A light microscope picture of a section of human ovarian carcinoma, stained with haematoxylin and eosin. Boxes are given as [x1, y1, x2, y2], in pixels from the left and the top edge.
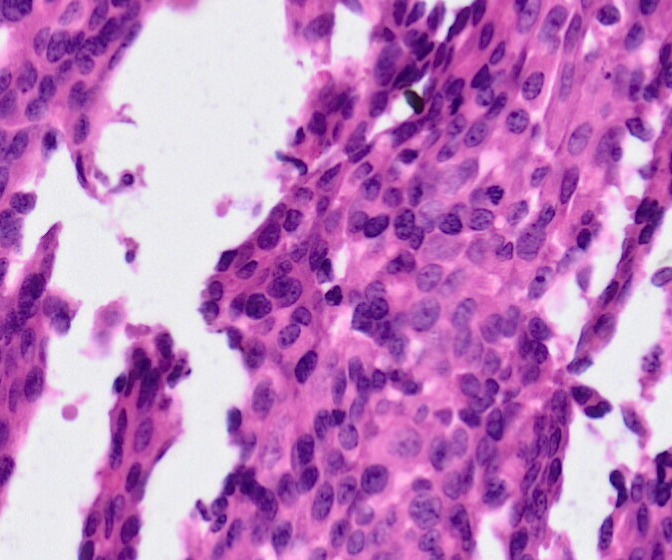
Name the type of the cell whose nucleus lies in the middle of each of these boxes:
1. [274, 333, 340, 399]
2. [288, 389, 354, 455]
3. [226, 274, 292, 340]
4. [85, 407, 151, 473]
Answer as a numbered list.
1. carcinoma cell
2. carcinoma cell
3. carcinoma cell
4. endothelial cell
